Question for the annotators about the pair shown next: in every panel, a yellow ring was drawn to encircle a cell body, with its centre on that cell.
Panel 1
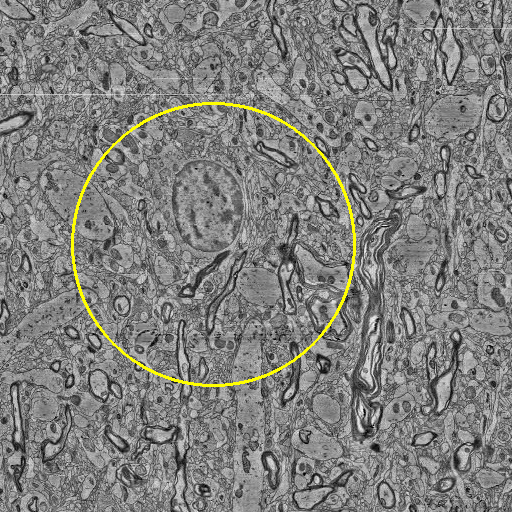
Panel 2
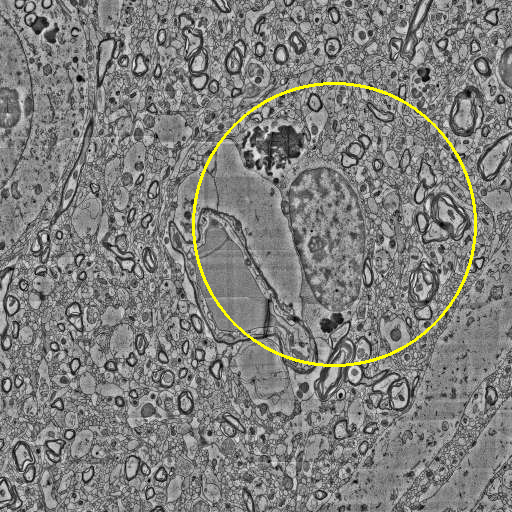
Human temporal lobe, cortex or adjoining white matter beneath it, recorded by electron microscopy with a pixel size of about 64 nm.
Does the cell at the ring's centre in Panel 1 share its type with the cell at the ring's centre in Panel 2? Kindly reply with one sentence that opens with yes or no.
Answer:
Yes, in Panels 1 and 2 the cells at the ring centres belong to a single type.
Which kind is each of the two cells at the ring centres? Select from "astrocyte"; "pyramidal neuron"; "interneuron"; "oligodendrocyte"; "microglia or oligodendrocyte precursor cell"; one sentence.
The cell in the first picture is an oligodendrocyte, and so is the one in the second.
